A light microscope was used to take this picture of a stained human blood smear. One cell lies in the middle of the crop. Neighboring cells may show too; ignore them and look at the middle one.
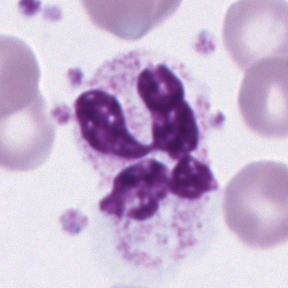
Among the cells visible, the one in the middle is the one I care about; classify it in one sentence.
In the middle of this smear crop, the cell is a segmented neutrophil.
